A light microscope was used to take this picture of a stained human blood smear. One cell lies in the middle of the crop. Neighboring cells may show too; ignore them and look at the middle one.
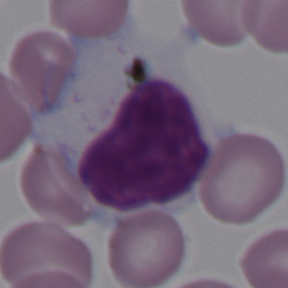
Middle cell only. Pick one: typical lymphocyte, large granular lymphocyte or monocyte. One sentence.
Among the cells in view, the one in the middle is a large granular lymphocyte.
